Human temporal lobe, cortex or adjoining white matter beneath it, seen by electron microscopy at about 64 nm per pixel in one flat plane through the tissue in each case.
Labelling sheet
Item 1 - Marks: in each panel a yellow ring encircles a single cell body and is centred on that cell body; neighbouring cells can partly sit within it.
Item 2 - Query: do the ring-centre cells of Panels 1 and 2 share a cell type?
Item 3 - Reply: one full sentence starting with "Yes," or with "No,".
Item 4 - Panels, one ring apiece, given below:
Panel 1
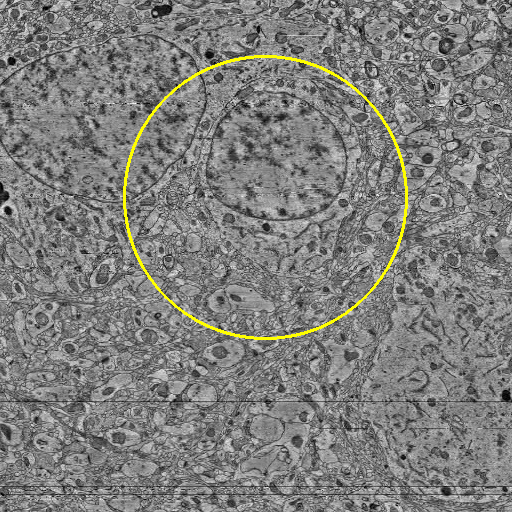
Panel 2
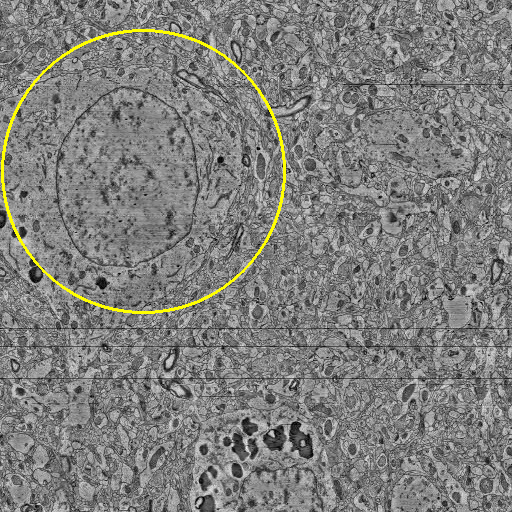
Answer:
Yes, Panel 1 and Panel 2 show one cell type at the centres of their rings.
